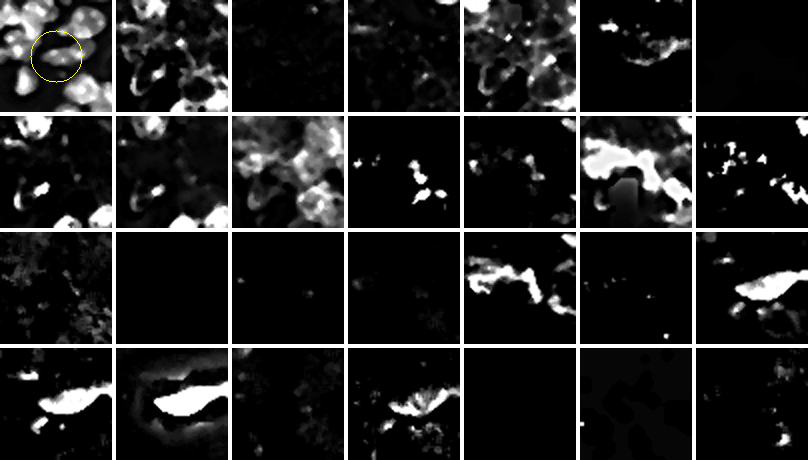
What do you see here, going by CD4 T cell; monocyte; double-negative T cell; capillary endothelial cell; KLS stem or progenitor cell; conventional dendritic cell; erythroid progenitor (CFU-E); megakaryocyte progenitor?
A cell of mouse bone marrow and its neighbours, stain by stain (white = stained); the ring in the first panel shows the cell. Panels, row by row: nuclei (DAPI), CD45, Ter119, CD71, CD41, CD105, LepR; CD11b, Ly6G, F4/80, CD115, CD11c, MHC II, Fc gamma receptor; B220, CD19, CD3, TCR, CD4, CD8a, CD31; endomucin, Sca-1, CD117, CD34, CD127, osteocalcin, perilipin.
I see a capillary endothelial cell.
